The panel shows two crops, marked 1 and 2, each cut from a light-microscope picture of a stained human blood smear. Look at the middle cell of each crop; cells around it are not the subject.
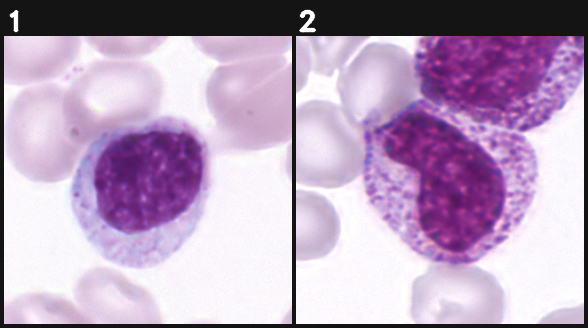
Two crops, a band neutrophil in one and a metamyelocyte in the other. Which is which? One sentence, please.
Crop 1 is a metamyelocyte, while a band neutrophil is the cell in crop 2.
